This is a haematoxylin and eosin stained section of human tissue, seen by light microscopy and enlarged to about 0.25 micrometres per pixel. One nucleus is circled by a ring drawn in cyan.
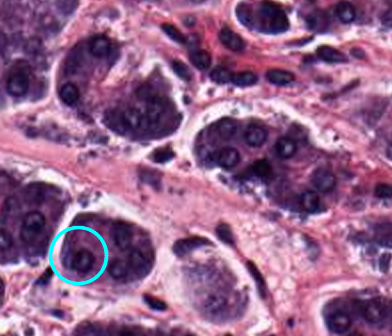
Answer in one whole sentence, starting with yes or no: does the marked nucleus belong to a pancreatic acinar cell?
Yes, in this image it is a pancreatic acinar cell that contains the marked nucleus.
